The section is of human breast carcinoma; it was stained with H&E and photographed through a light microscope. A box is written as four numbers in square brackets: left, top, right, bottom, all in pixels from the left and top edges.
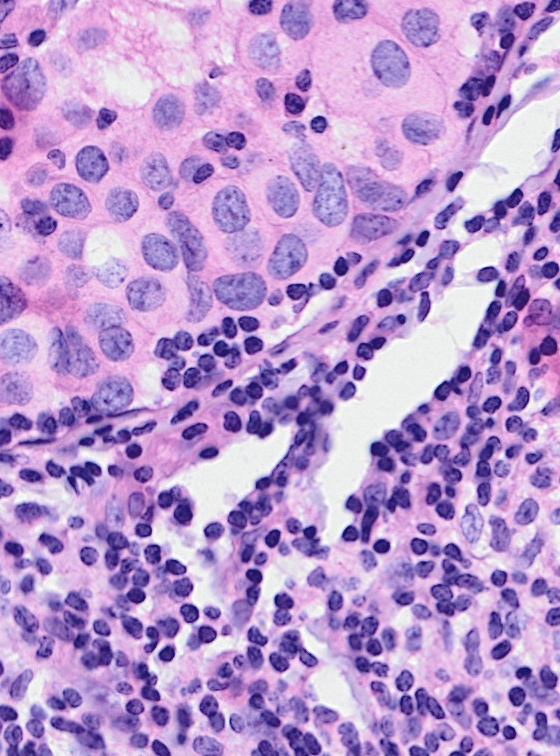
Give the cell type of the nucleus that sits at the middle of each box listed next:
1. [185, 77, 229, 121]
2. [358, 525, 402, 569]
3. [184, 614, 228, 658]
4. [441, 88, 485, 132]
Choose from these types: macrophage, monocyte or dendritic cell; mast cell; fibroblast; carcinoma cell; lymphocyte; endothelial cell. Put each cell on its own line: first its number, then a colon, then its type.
1: carcinoma cell
2: lymphocyte
3: lymphocyte
4: lymphocyte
